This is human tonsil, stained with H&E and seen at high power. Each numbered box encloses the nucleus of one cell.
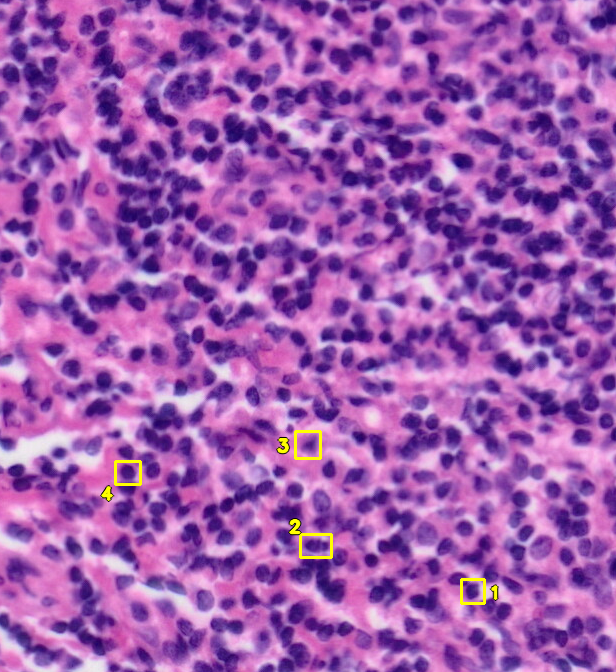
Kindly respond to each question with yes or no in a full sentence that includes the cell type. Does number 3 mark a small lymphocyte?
No, cell 3 is not to be taken for a small lymphocyte; it is an endothelial cell.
